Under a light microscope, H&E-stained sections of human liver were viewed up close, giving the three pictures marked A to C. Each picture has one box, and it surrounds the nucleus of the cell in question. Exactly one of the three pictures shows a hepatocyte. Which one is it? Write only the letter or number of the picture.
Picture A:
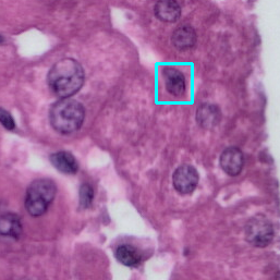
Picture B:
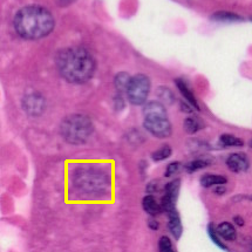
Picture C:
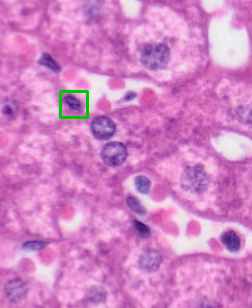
B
